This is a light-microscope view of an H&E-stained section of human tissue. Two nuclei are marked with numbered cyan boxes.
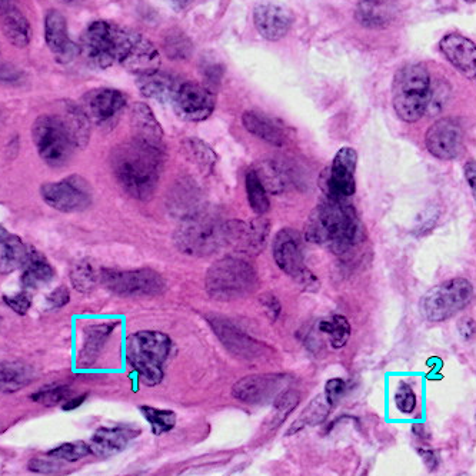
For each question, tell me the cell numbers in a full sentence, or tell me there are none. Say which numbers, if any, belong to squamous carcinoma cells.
In contrast to the remaining marked cells, cell 1 is a squamous carcinoma cell.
